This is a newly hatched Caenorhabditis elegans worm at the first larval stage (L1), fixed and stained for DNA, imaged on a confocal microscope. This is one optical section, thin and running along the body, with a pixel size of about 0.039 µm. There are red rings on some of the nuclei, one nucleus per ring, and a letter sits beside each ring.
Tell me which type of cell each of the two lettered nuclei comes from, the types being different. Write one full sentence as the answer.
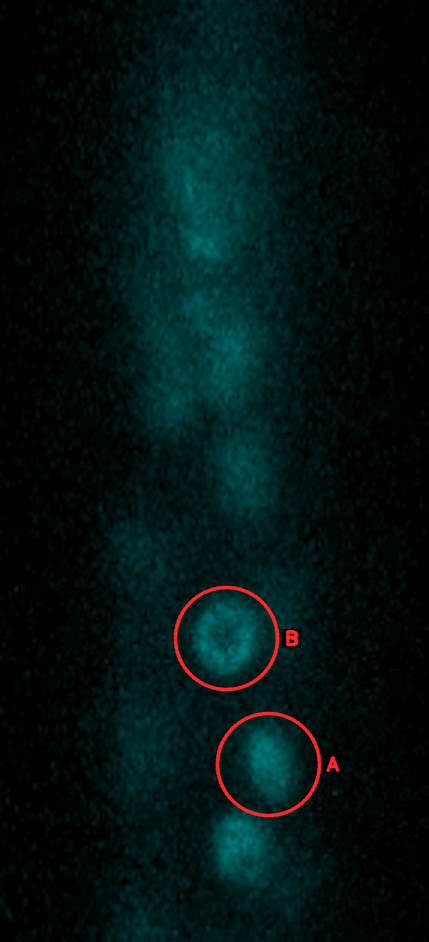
The nucleus A is that of a P cell (ventral epidermal blast cell), while B is that of a seam cell.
